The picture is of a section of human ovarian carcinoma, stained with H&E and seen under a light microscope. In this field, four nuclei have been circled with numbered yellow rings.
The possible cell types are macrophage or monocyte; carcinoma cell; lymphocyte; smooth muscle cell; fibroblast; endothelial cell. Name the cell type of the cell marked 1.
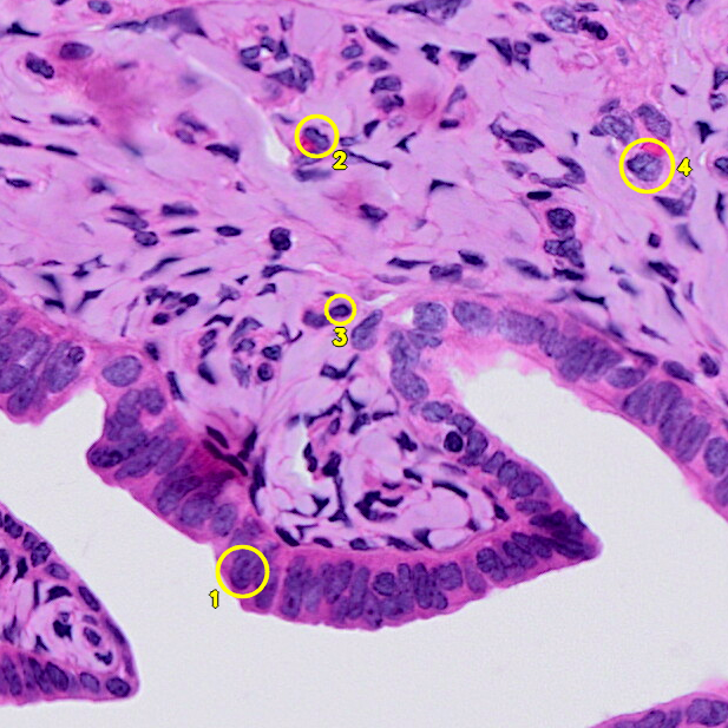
carcinoma cell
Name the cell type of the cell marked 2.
endothelial cell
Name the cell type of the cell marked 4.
endothelial cell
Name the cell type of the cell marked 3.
smooth muscle cell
